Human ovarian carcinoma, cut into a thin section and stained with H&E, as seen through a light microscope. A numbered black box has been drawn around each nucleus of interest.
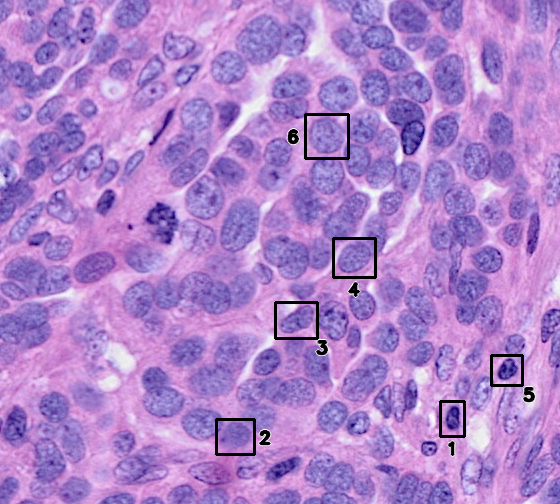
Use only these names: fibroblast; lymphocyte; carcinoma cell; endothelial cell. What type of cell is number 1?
lymphocyte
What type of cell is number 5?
lymphocyte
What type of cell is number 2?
carcinoma cell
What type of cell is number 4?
carcinoma cell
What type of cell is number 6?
carcinoma cell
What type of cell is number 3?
carcinoma cell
